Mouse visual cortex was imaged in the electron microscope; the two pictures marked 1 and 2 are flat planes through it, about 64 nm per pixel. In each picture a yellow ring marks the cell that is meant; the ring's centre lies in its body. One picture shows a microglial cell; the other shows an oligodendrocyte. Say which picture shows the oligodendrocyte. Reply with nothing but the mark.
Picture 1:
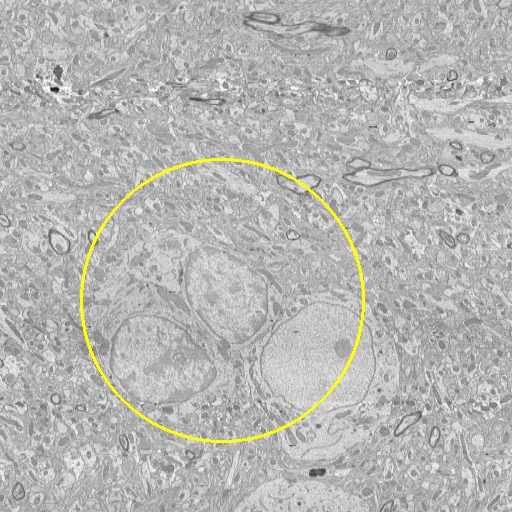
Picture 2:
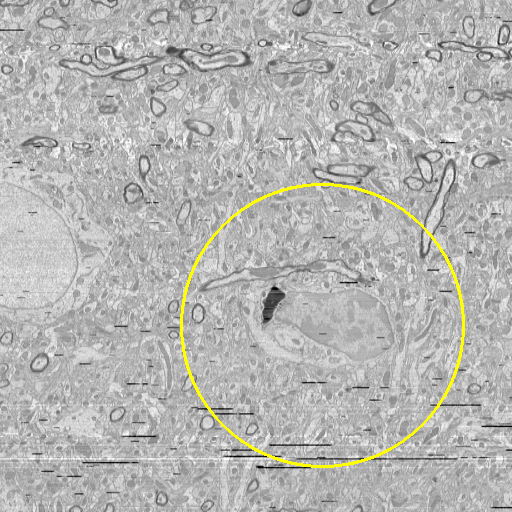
1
